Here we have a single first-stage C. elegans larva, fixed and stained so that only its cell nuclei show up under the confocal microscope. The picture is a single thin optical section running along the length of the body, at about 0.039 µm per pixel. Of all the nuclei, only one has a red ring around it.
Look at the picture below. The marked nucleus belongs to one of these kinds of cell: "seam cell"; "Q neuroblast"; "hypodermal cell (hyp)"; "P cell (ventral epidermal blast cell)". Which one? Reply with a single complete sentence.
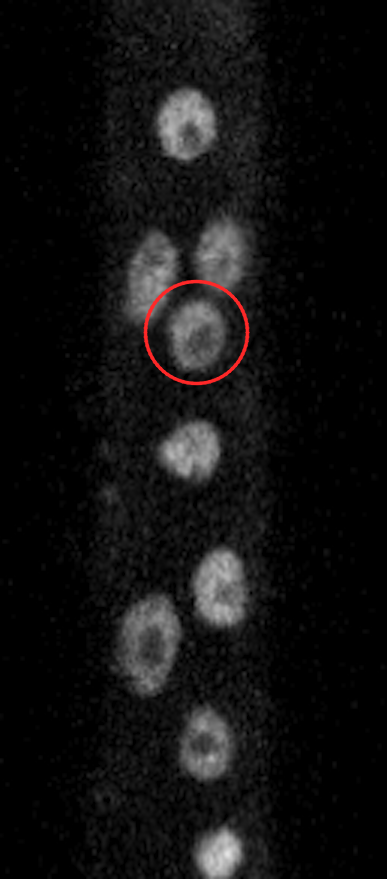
This nucleus is from a seam cell.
